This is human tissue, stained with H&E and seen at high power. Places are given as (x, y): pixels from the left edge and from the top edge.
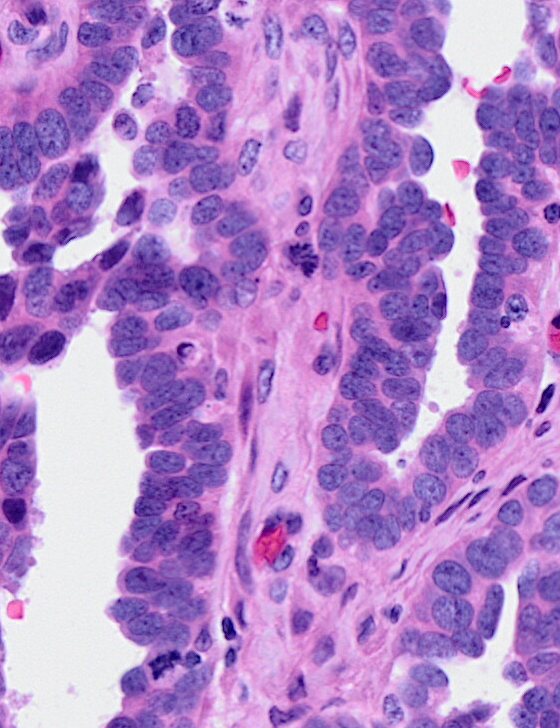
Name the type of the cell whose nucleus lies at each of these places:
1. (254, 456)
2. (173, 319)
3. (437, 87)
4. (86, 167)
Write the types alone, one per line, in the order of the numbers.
fibroblast
carcinoma cell
carcinoma cell
carcinoma cell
